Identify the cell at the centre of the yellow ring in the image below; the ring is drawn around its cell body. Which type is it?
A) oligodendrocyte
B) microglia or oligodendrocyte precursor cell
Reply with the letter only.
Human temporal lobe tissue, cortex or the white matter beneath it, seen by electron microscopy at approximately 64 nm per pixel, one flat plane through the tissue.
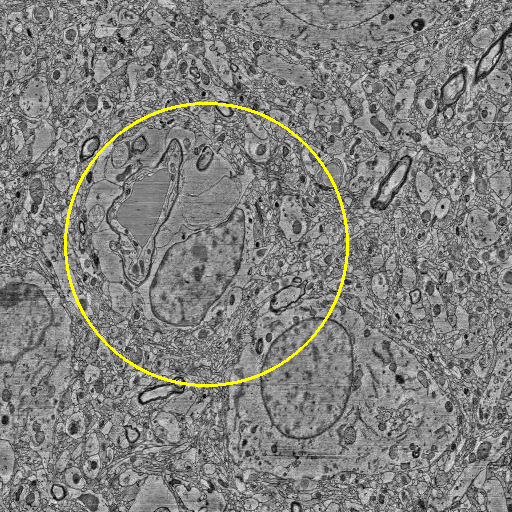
B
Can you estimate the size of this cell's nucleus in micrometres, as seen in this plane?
Roughly 7 by 4 micrometres; in this plane, clearly longer than it is wide.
